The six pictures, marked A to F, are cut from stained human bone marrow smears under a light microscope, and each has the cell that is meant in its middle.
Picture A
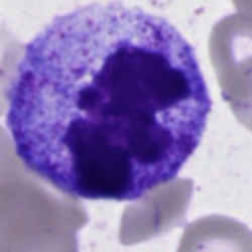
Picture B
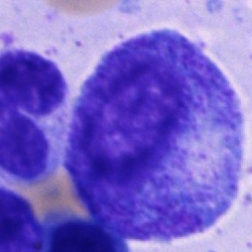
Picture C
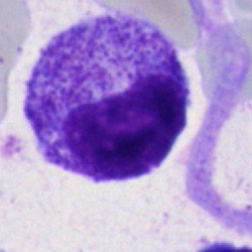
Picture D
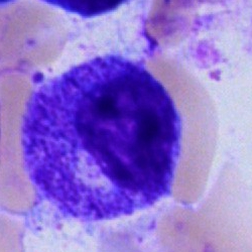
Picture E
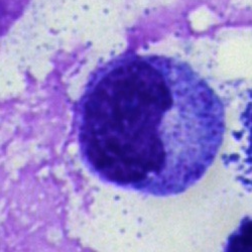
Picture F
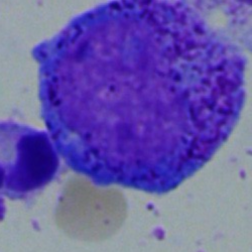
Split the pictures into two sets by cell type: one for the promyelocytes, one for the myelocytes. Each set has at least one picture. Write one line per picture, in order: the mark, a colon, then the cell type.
A: promyelocyte
B: promyelocyte
C: myelocyte
D: myelocyte
E: myelocyte
F: promyelocyte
